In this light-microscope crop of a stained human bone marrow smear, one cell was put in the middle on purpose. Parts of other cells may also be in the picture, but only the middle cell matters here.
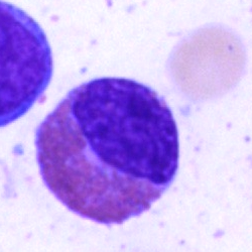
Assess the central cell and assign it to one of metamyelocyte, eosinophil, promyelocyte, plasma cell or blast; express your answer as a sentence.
By classification, the middle cell of this crop is an eosinophil.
